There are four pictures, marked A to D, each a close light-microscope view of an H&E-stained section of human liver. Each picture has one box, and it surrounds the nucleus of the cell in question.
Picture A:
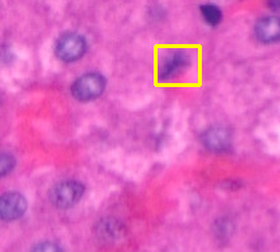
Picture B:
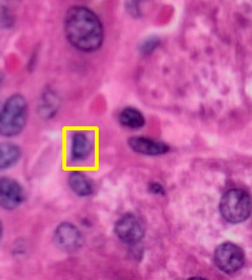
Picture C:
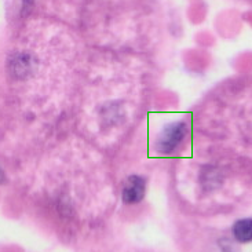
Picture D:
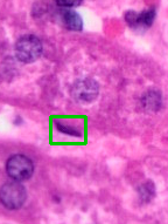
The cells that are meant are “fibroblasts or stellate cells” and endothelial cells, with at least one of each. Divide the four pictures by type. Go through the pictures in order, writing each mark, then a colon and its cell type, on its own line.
A: endothelial cell
B: fibroblast or stellate cell
C: endothelial cell
D: endothelial cell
